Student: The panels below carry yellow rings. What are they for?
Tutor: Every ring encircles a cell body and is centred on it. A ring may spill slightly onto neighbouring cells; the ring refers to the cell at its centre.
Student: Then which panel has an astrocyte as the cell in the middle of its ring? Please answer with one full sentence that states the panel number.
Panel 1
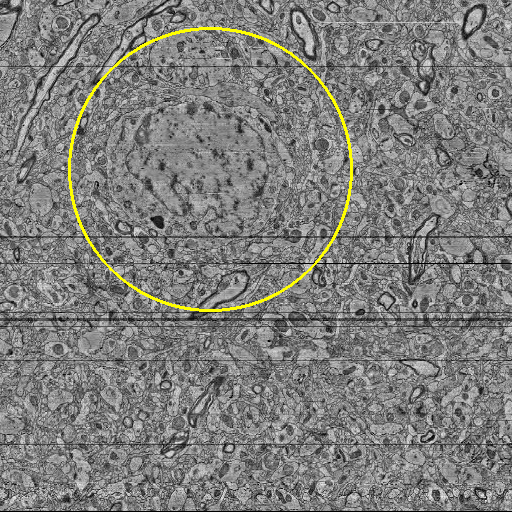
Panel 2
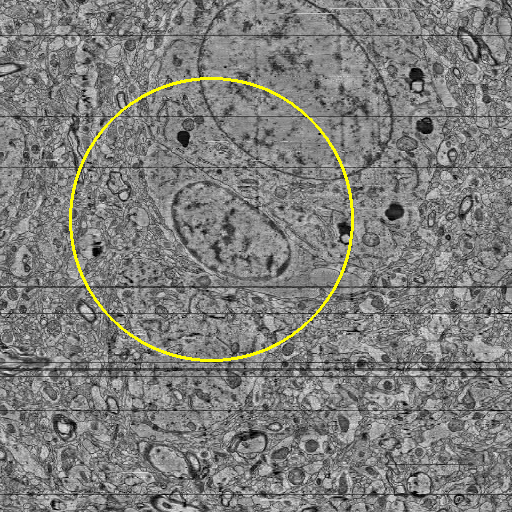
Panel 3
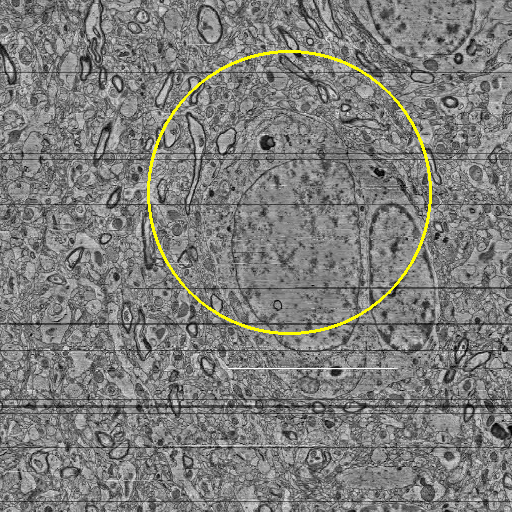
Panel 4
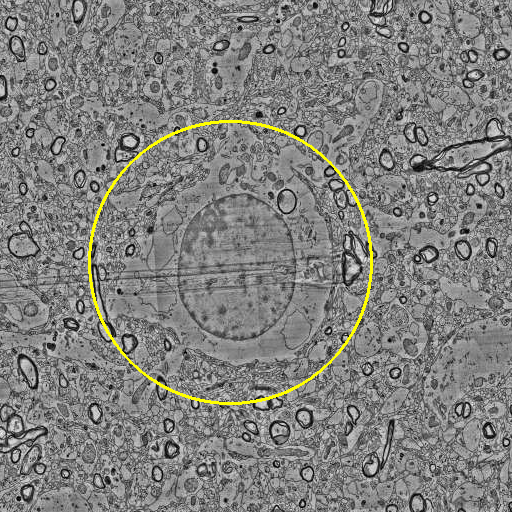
In Panel 4, the cell centred in the ring is the one sought.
